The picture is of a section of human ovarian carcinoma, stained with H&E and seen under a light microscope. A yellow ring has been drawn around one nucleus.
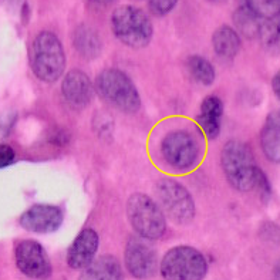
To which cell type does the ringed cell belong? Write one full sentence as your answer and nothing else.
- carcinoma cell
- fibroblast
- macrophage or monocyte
By its classification, the ringed cell is a carcinoma cell.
